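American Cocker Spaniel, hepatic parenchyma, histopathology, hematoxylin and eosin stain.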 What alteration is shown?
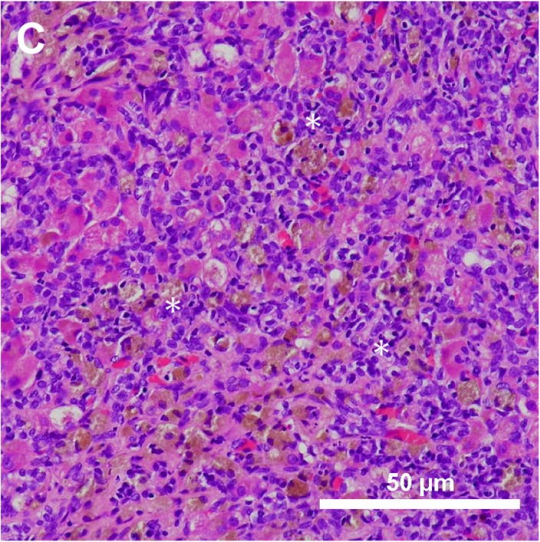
The normal liver architecture was disrupted.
